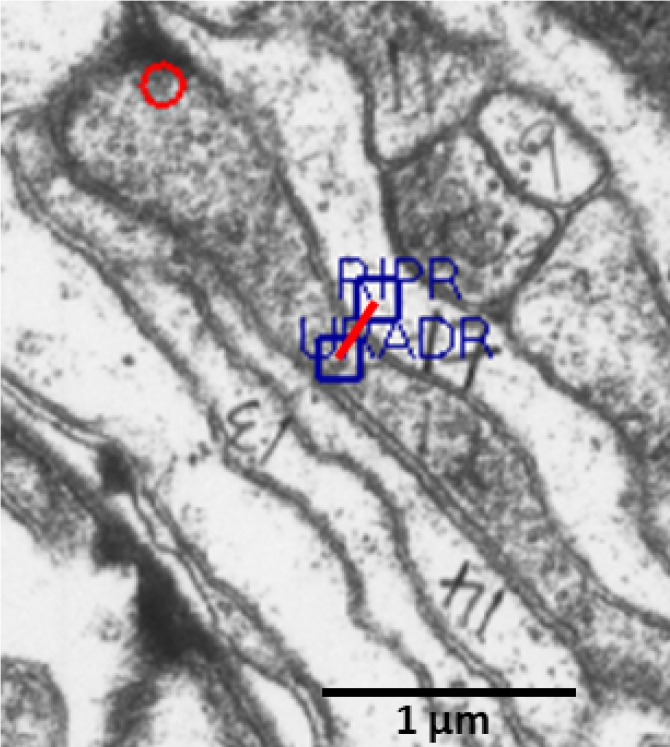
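This electron micrograph shows a tightly packed bundle of nerve fibres cut in section, each neurite seen as a profile bounded by dark membranes. Many profiles are long and narrow and run diagonally from upper left to lower right, lying side by side with little space between them. A large profile in the upper left is filled with a fine, speckled, granular content, and at its upper edge lies a small, very dark, dense patch where it meets its neighbours. Other profiles are paler and more uniform, and a few near the upper right are rounder and contain small membrane-bound shapes.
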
